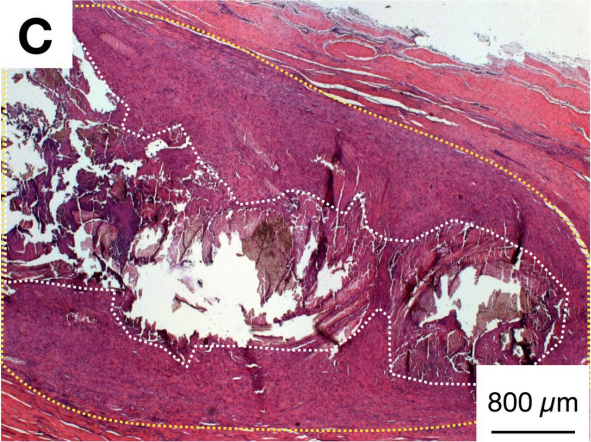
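At low power a pink tendon-like tissue surrounds a central area that is fragmented into torn pieces, empty clefts and pale to brownish refractile material. Around this central zone lies a broad, dense band crowded with purple nuclei, while the outer tissue is paler and less cellular.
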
